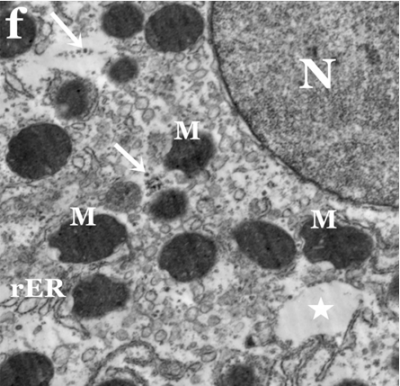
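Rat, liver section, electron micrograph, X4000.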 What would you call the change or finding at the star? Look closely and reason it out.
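Clear area of cytoplasm. The star lies on a pale, nearly empty patch of cytoplasm. The patch lacks the organelles seen around it.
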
